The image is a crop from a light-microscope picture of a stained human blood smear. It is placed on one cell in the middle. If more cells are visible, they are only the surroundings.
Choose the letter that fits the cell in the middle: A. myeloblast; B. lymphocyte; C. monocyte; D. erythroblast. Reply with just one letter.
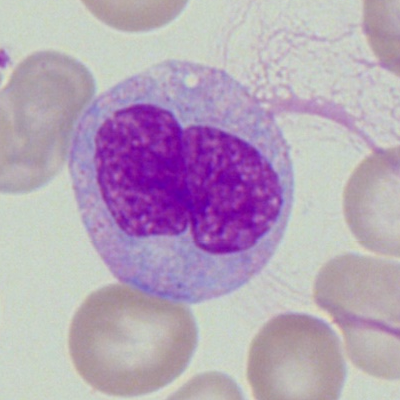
C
